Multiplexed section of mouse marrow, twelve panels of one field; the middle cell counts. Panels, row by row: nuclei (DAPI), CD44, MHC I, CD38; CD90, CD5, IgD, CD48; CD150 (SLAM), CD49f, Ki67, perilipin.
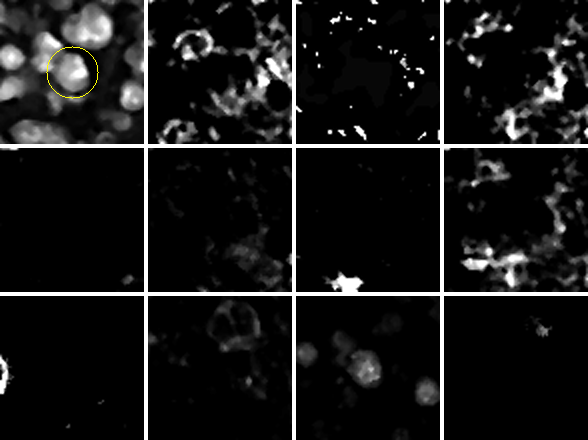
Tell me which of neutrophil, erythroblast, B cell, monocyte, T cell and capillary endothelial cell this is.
The picture shows an erythroblast.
